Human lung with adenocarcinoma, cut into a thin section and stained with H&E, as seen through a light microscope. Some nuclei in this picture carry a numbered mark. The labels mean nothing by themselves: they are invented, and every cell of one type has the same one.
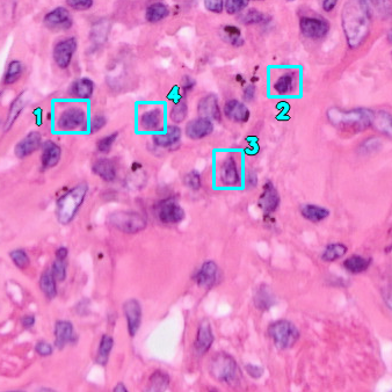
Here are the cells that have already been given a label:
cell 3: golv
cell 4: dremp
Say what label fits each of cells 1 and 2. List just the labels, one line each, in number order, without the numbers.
dremp
golv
